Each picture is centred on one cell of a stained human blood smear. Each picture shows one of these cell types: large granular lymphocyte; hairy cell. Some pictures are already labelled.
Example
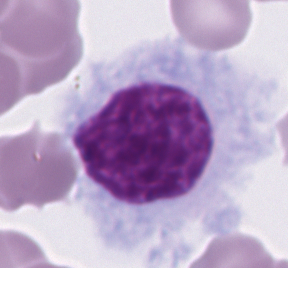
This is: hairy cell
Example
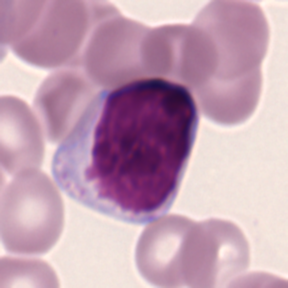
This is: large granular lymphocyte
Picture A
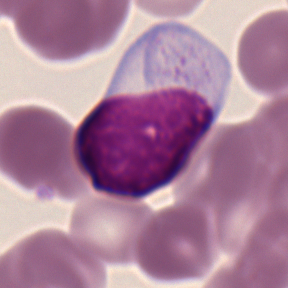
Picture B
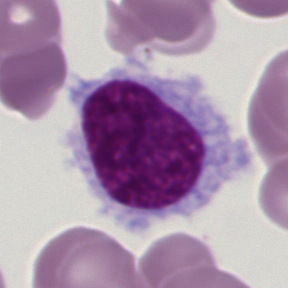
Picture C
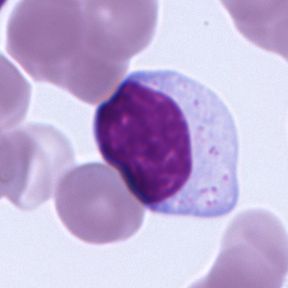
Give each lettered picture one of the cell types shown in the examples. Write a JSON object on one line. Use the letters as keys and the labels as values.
{"A": "large granular lymphocyte", "B": "hairy cell", "C": "large granular lymphocyte"}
